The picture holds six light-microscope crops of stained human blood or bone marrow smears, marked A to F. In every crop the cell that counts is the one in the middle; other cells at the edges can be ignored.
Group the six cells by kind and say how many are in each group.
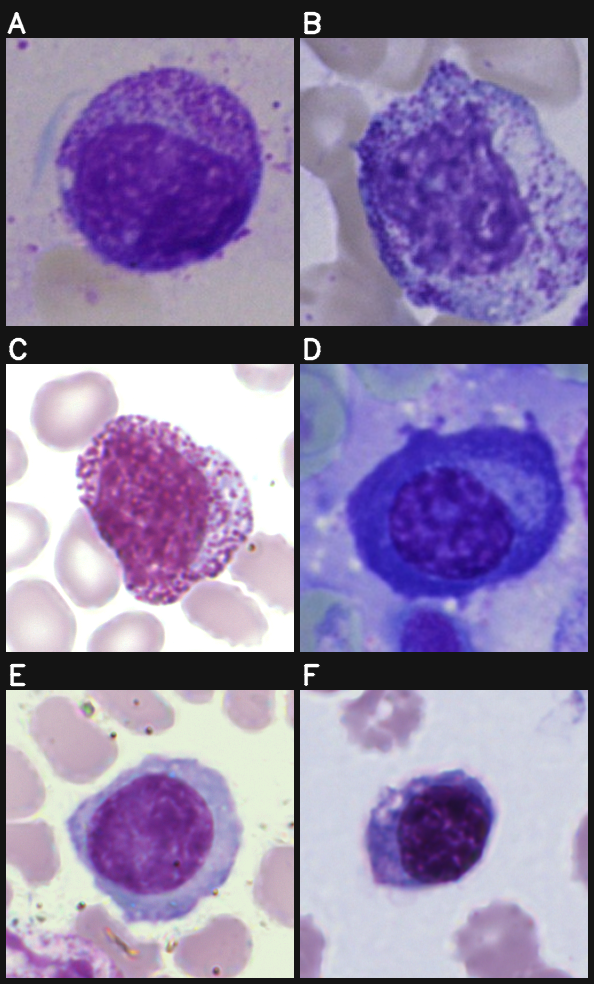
myelocyte: 3
plasma cell: 3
